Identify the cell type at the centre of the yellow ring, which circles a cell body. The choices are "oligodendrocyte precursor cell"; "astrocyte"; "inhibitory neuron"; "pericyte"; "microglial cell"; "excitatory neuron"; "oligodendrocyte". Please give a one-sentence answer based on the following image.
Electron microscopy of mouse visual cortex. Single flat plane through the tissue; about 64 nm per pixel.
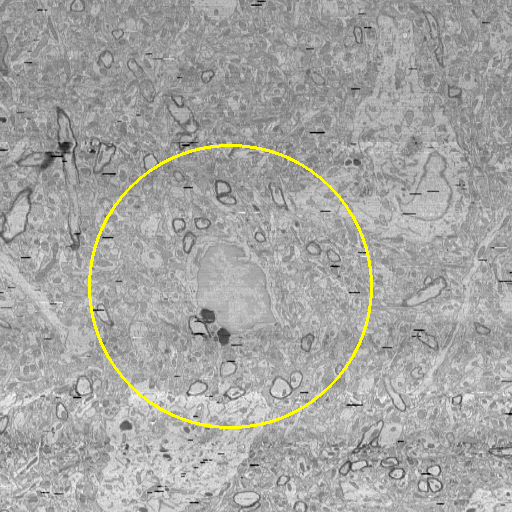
The cell marked by the ring is a microglial cell.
